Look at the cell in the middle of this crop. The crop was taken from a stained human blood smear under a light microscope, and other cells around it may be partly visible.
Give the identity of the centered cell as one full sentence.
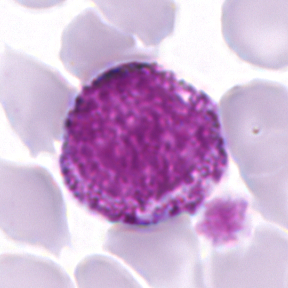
The cell centered in this field of view is a myelocyte.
